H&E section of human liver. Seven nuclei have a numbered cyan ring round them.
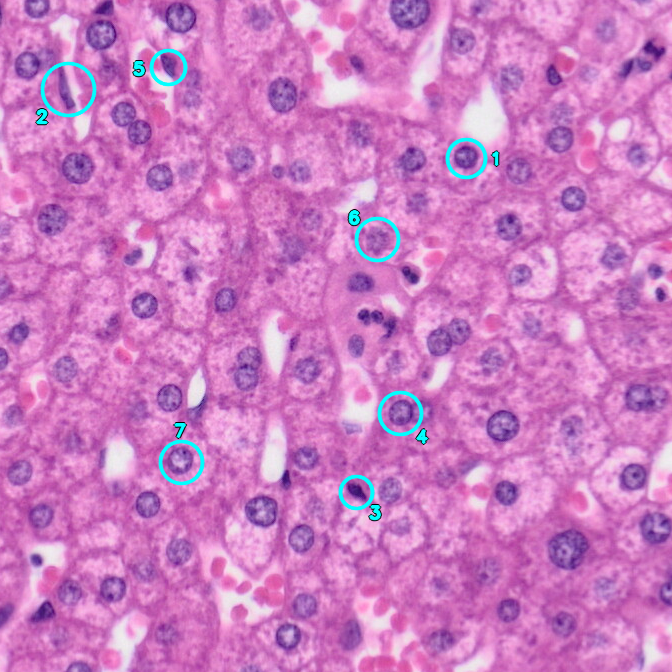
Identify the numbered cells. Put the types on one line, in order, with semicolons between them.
hepatocyte; Kupffer cell; fibroblast or stellate cell; hepatocyte; endothelial cell; hepatocyte; hepatocyte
